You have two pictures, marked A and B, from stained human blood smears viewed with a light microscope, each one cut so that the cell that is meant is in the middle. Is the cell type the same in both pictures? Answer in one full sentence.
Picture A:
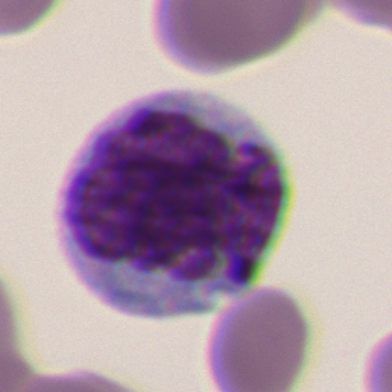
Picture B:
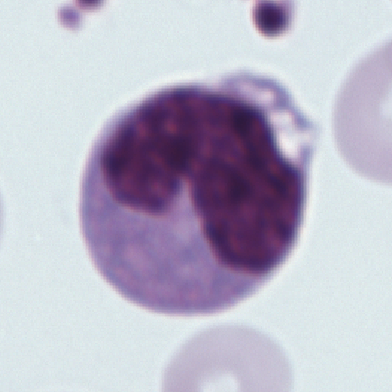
Yes, both cells are monocytes.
